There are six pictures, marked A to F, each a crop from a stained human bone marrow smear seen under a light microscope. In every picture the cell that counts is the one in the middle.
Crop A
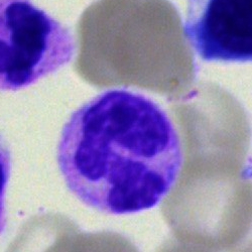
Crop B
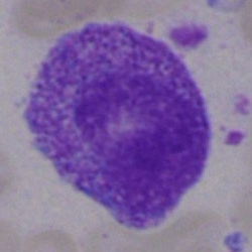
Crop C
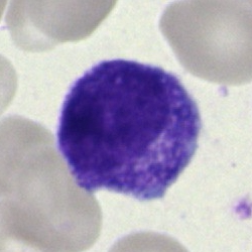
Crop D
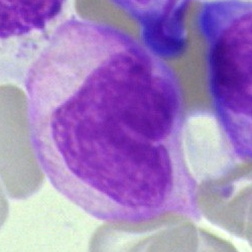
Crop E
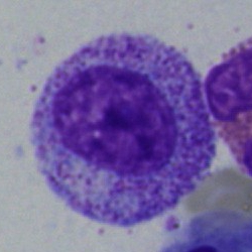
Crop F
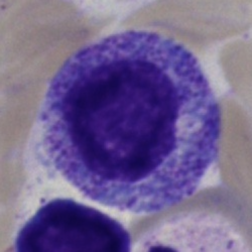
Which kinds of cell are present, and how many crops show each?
myelocyte: 4
segmented neutrophil: 1
monocyte: 1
